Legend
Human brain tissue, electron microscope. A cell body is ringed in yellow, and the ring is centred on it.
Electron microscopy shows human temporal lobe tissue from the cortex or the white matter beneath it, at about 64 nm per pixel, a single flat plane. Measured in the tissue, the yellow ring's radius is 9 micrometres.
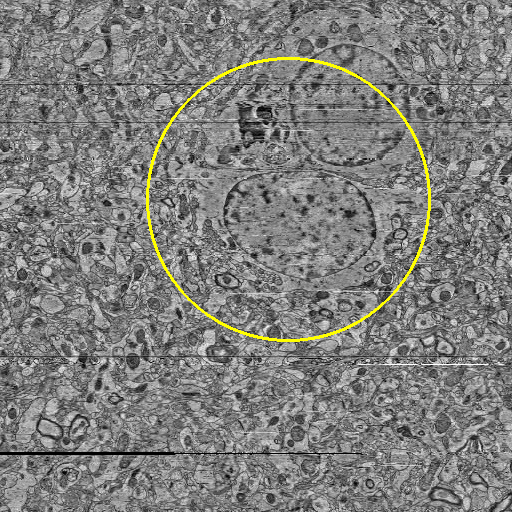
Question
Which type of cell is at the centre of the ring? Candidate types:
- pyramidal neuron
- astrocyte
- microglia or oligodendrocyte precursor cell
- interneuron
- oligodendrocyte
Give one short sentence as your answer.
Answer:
The yellow ring is centred here on an astrocyte.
